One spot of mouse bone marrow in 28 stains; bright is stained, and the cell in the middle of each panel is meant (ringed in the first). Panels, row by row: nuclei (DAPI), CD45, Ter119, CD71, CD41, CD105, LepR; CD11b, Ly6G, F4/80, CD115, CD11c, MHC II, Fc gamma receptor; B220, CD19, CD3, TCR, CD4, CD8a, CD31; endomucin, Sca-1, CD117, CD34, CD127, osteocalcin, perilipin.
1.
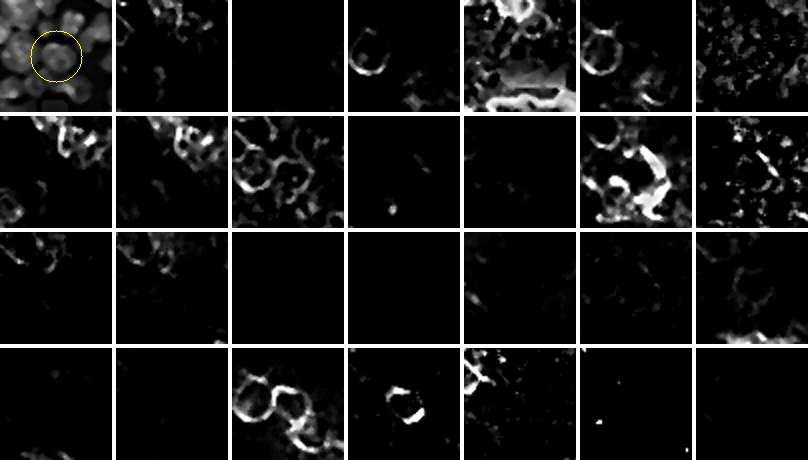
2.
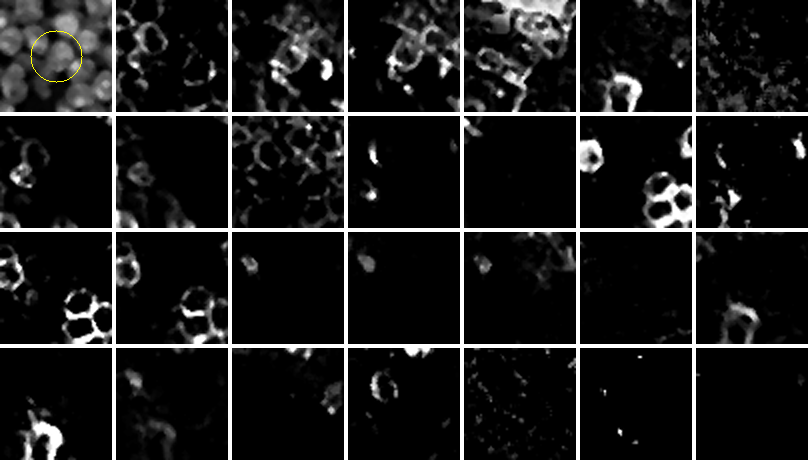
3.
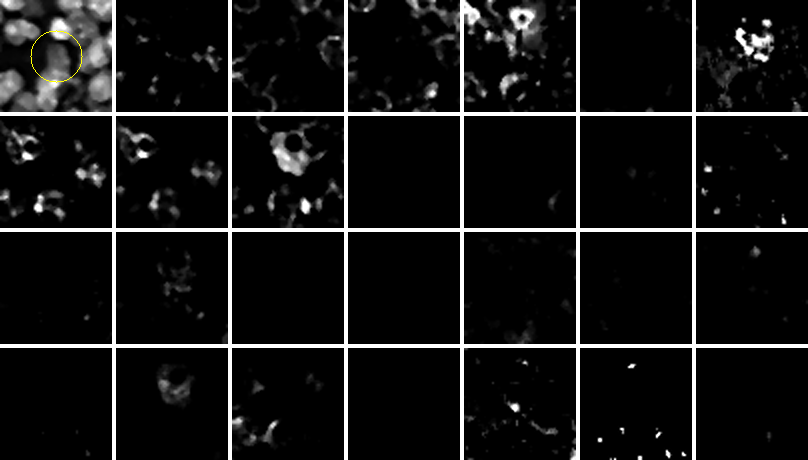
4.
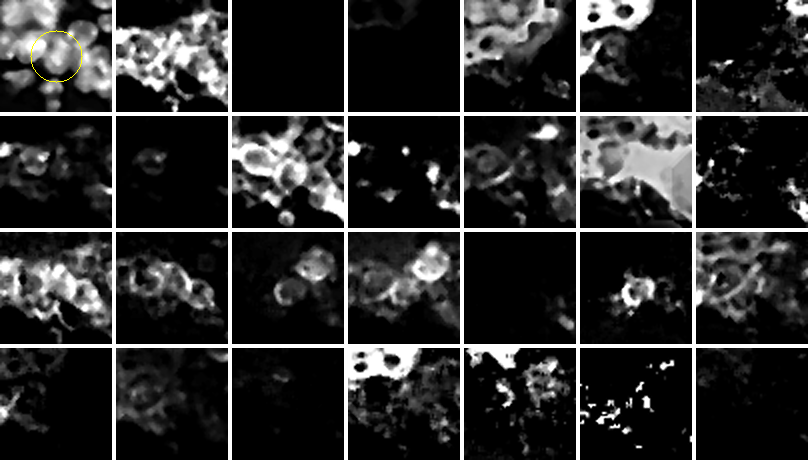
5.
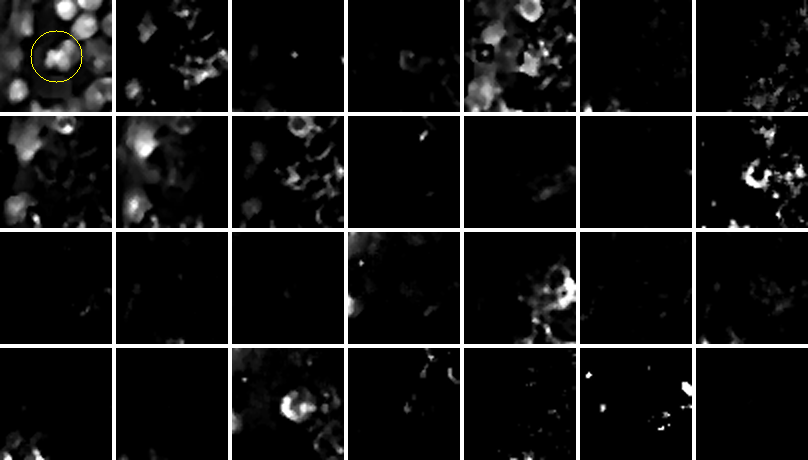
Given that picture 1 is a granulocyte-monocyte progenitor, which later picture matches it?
5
